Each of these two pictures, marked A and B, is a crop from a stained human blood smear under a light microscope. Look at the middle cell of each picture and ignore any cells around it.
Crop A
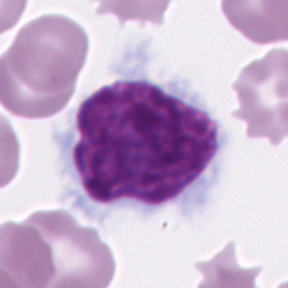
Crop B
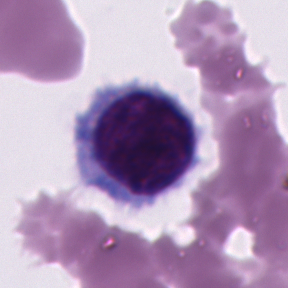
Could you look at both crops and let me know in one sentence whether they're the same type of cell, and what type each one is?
Yes, the cells under consideration in both crops are hairy cells.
